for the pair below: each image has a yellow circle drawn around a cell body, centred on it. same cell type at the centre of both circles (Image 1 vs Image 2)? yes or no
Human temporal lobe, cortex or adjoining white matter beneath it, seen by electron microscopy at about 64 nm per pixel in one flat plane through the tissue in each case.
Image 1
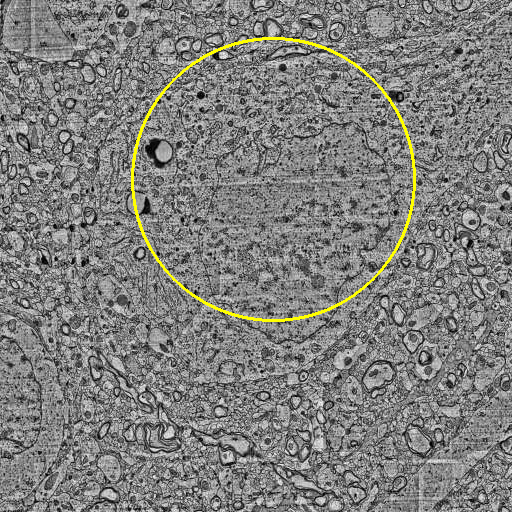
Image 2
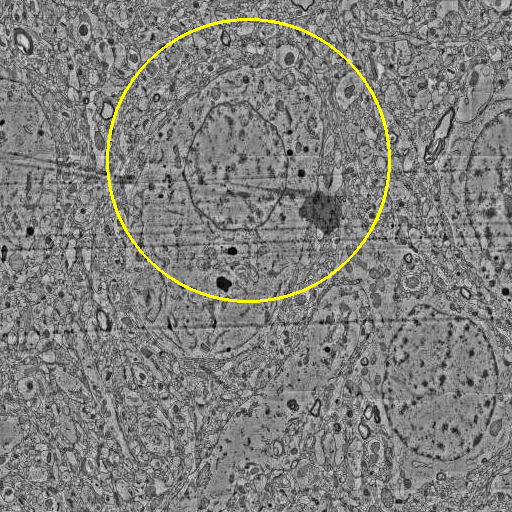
yes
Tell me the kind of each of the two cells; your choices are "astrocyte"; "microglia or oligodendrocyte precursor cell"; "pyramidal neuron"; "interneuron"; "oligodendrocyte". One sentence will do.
Each of the two rings surrounds a pyramidal neuron.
